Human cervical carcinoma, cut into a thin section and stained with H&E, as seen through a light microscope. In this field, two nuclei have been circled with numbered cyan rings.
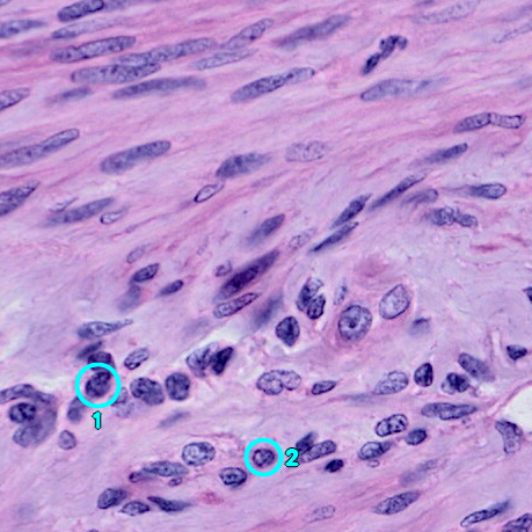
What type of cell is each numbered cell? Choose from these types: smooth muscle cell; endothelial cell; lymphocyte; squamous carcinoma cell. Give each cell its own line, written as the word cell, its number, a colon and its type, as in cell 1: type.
cell 1: lymphocyte
cell 2: smooth muscle cell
